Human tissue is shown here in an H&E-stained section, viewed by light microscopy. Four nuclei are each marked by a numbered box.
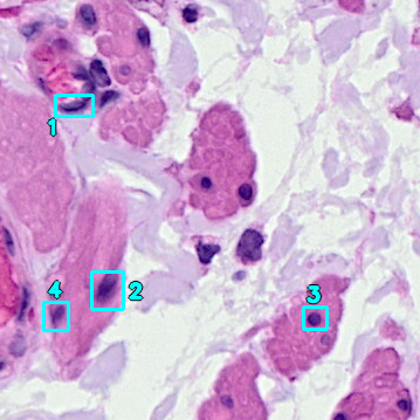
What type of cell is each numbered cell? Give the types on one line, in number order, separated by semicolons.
endothelial cell; smooth muscle cell; smooth muscle cell; smooth muscle cell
